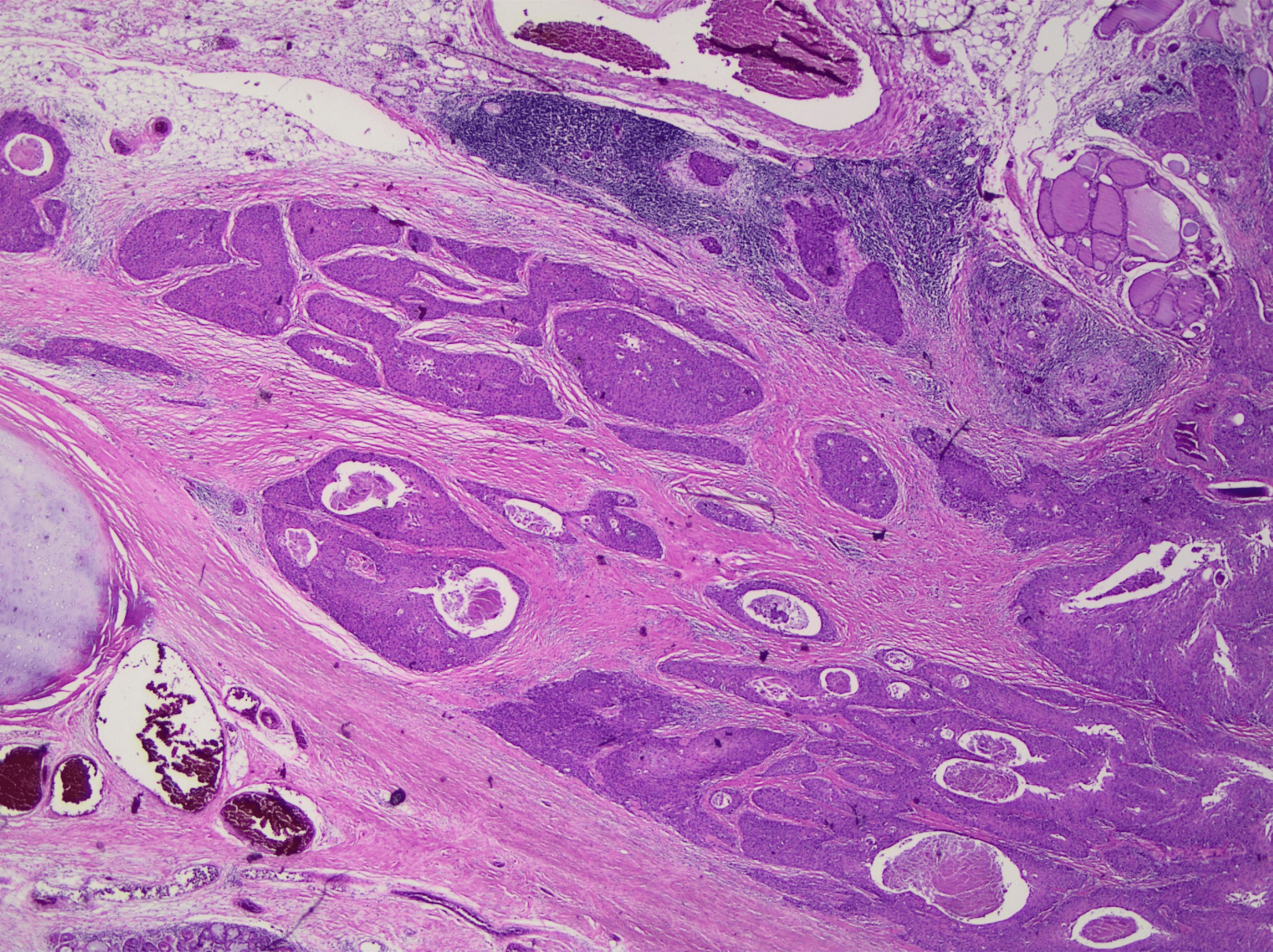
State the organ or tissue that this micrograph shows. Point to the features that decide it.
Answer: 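At the upper right there are round follicles filled with pink homogeneous colloid. Tumour nests lie close beside and among these follicles. That points to this answer: thyroid parenchyma.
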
